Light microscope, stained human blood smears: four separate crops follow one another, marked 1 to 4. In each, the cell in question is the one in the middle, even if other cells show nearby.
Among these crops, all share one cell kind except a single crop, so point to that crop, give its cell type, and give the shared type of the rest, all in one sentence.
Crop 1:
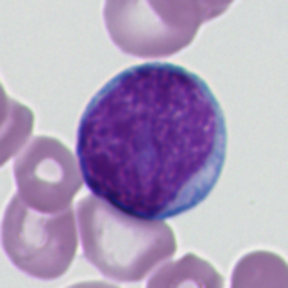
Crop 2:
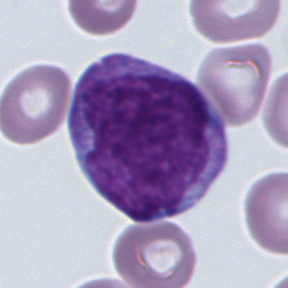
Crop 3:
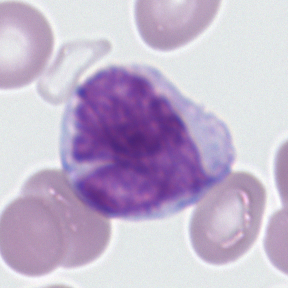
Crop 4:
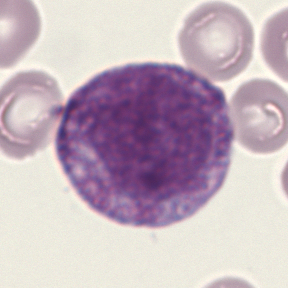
Of these crops, only crop 1 is a myeloblast; the others are atypical promyelocytes.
